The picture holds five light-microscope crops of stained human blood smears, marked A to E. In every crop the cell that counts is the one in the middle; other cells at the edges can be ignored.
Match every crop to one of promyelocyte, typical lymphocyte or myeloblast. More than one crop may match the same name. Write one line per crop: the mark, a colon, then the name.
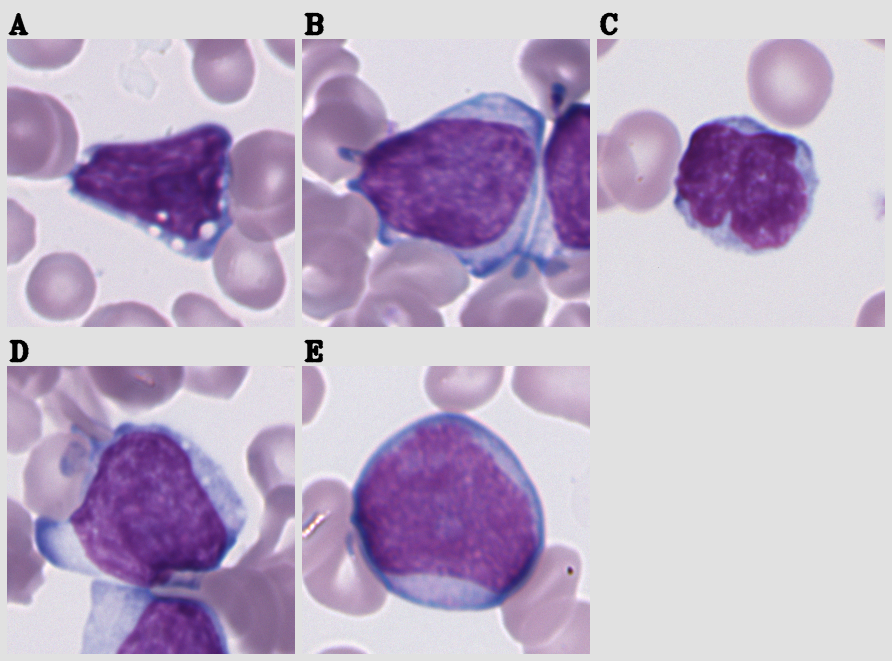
A: myeloblast
B: myeloblast
C: typical lymphocyte
D: myeloblast
E: myeloblast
